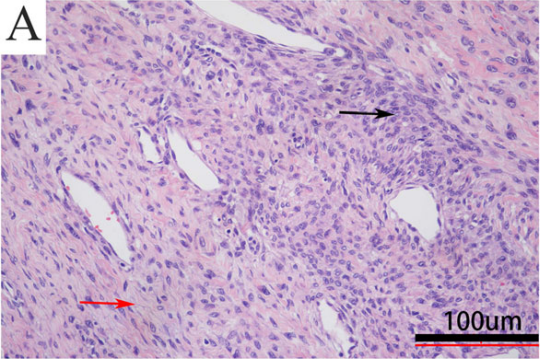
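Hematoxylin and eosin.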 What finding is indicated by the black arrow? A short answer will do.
Hypercellular.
